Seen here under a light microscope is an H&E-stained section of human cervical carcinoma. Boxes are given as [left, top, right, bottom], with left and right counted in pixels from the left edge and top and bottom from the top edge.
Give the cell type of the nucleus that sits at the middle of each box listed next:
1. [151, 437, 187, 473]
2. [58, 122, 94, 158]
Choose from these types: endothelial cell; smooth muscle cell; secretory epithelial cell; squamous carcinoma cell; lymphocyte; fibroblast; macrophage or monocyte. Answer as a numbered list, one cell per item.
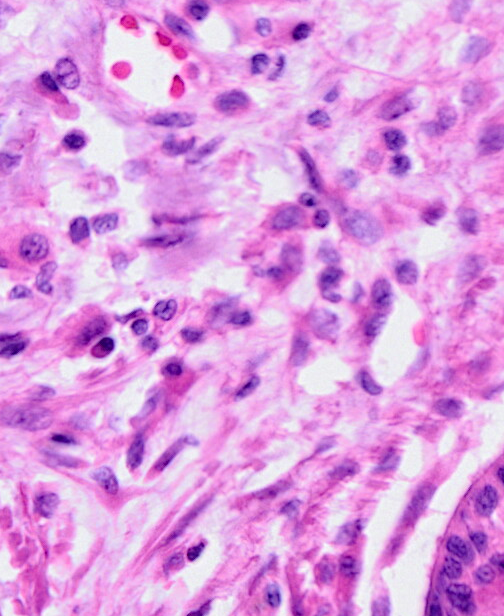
1. fibroblast
2. lymphocyte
